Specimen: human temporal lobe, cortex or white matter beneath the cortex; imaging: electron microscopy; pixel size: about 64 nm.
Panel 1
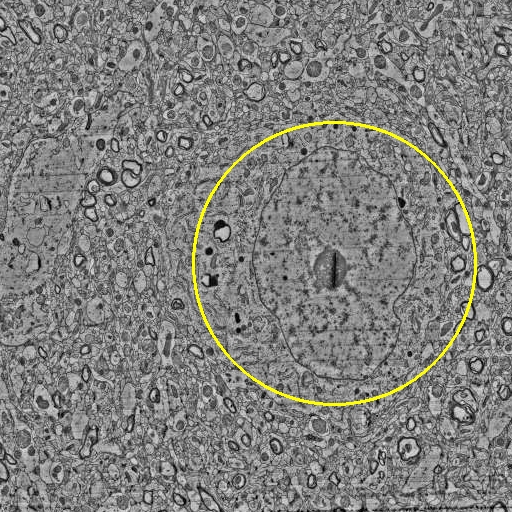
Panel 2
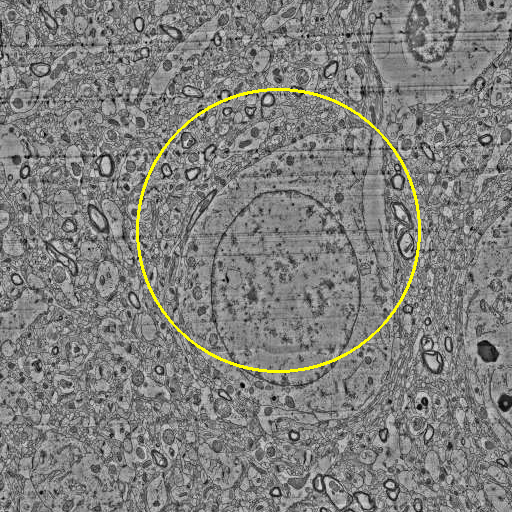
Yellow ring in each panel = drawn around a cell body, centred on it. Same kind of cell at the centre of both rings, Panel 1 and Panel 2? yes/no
yes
